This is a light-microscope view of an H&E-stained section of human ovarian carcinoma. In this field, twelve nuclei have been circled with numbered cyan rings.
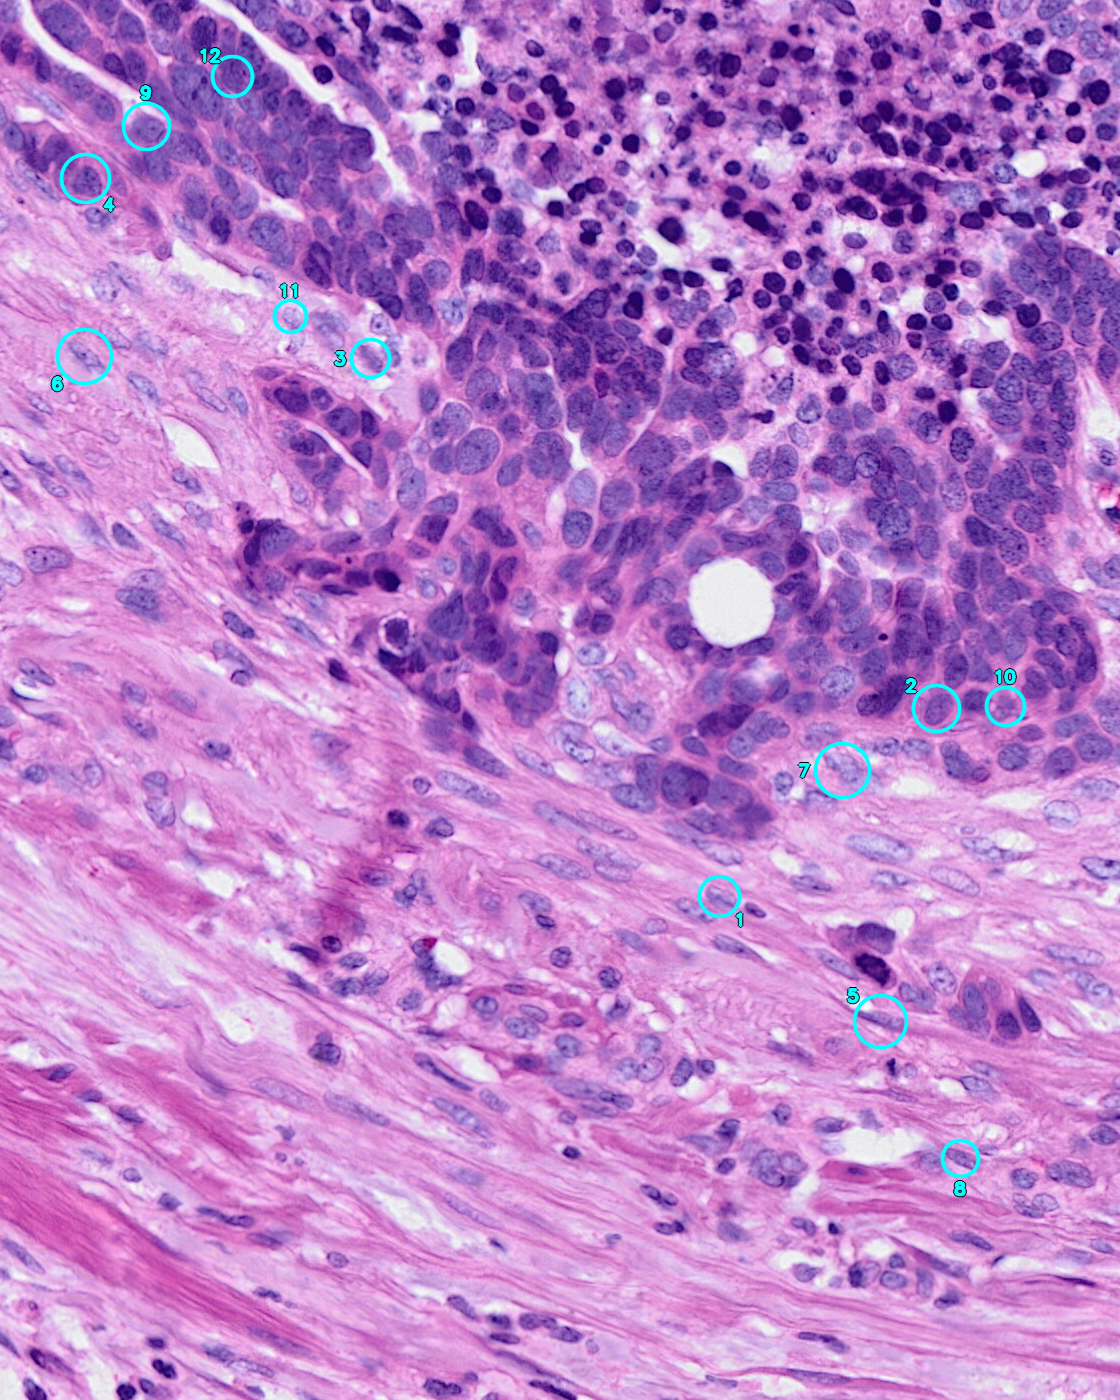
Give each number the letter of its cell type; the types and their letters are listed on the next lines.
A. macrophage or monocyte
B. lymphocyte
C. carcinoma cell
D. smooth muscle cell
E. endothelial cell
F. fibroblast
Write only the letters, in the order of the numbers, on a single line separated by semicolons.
F; C; F; C; F; F; F; F; C; C; F; C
